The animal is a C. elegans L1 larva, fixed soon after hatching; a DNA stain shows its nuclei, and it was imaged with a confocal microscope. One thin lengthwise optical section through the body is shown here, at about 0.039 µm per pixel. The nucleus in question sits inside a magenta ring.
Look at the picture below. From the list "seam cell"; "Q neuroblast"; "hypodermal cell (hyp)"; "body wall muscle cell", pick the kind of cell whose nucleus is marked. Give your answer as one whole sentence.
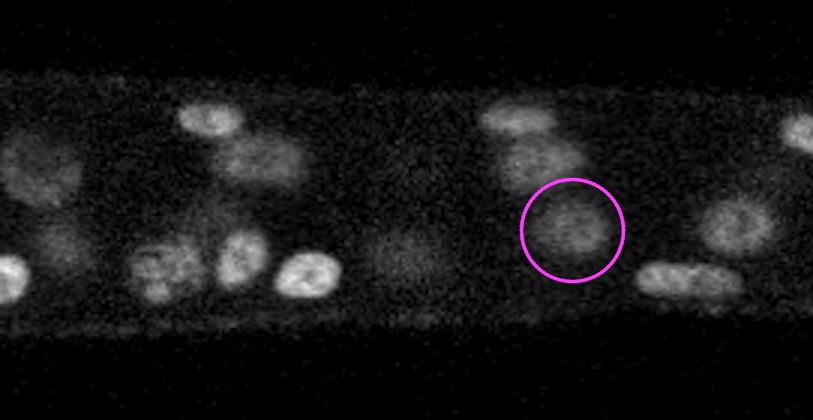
It belongs to a Q neuroblast.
